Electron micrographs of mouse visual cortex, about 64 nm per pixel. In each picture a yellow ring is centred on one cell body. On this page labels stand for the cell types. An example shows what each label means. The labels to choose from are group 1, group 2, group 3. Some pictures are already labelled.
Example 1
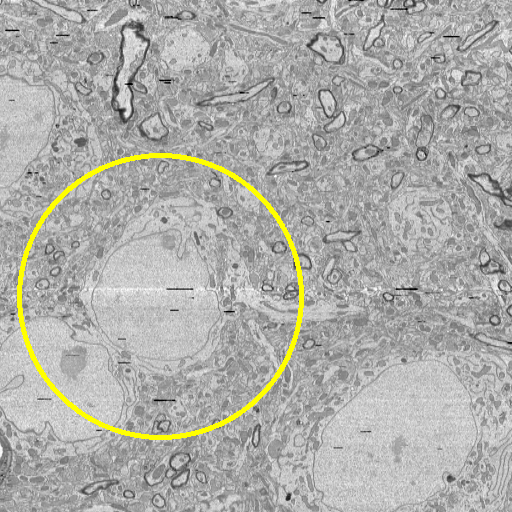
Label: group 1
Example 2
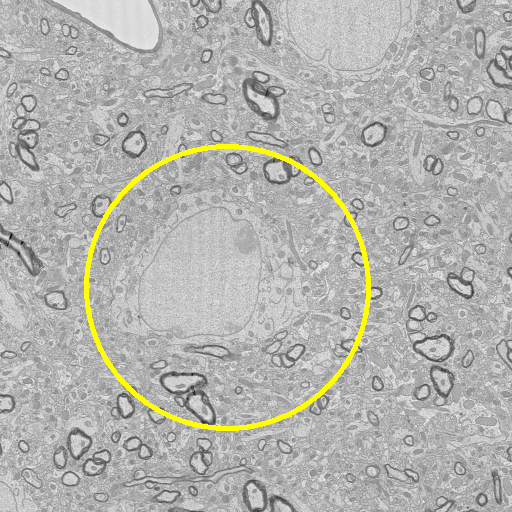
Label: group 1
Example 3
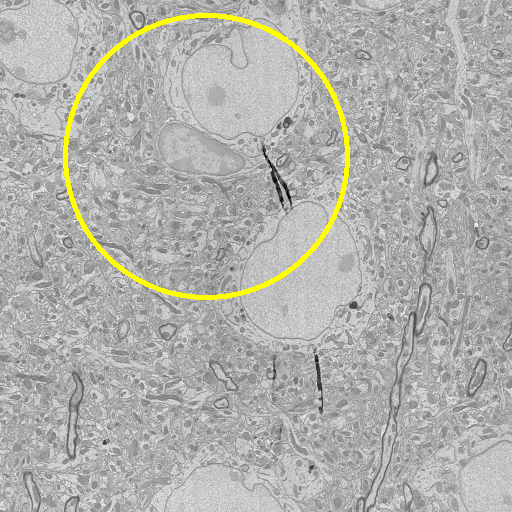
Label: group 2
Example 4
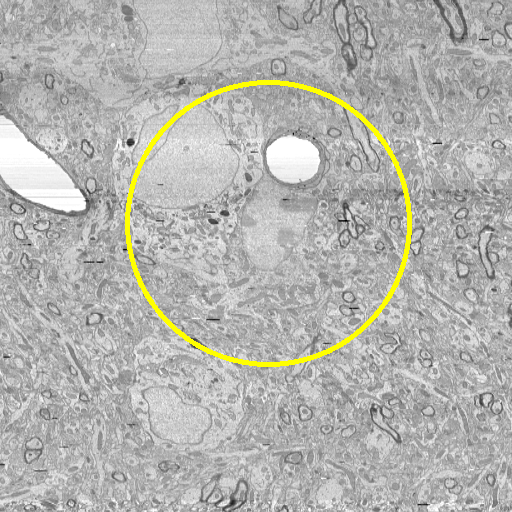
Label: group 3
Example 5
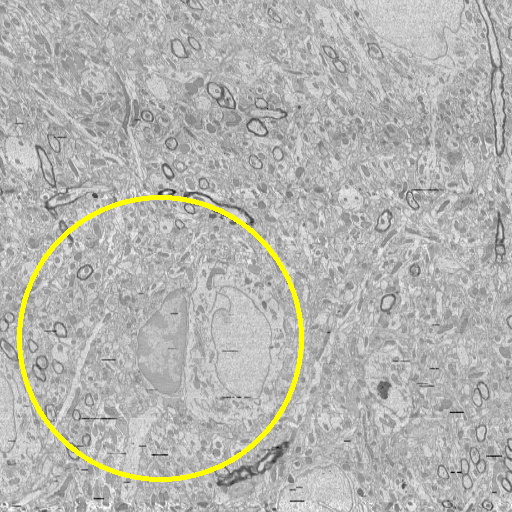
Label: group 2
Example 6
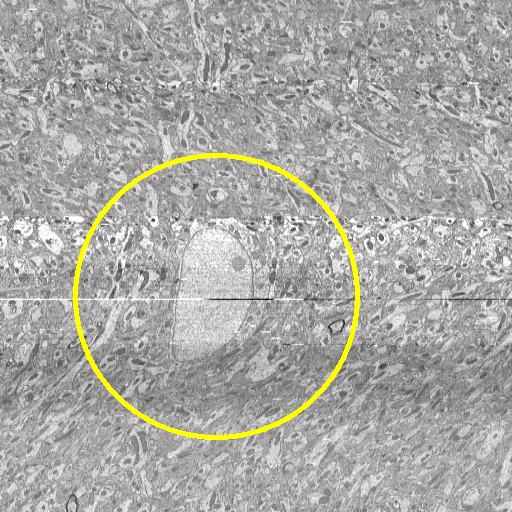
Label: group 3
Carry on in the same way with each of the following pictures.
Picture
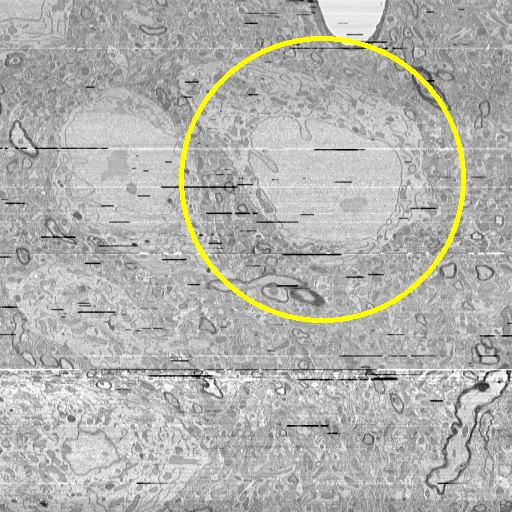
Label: group 1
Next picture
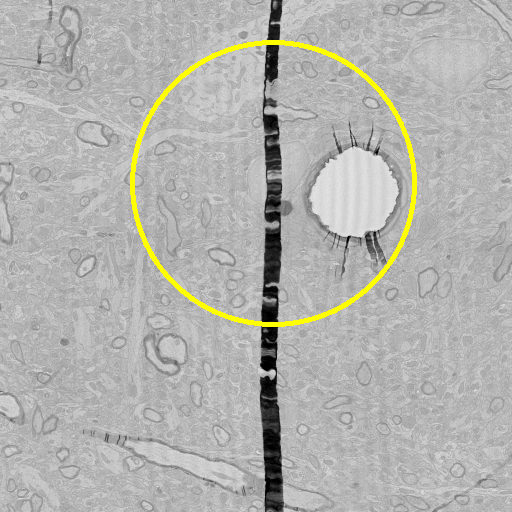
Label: group 2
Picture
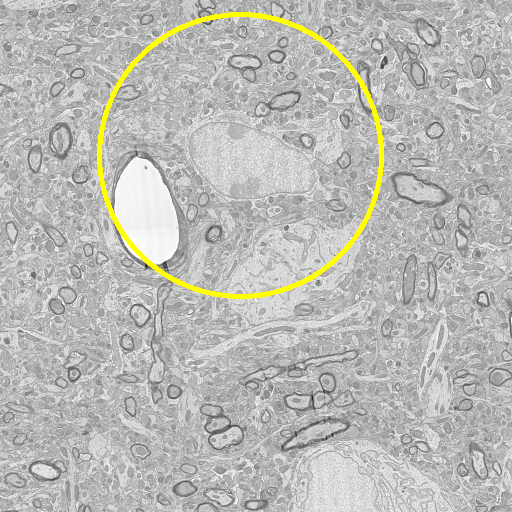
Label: group 3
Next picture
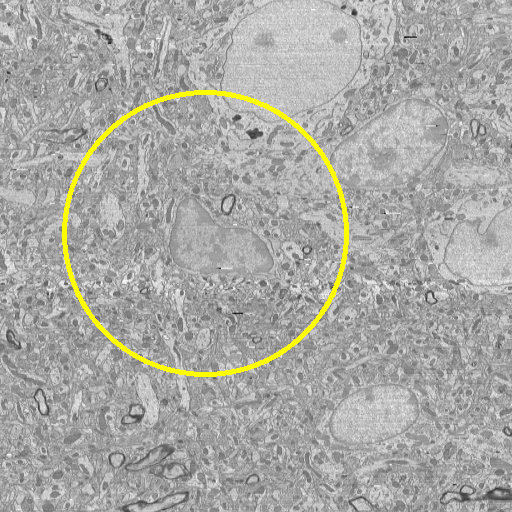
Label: group 2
